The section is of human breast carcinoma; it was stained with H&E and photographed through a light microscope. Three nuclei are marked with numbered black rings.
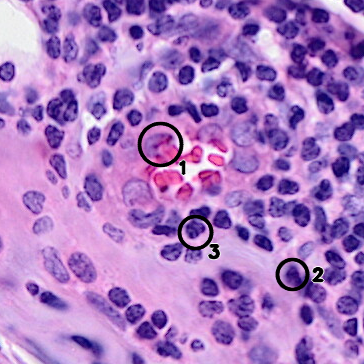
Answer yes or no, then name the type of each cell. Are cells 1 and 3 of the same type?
No, the cell tagged 1 is an endothelial cell, whereas the cell tagged 3 is a lymphocyte.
